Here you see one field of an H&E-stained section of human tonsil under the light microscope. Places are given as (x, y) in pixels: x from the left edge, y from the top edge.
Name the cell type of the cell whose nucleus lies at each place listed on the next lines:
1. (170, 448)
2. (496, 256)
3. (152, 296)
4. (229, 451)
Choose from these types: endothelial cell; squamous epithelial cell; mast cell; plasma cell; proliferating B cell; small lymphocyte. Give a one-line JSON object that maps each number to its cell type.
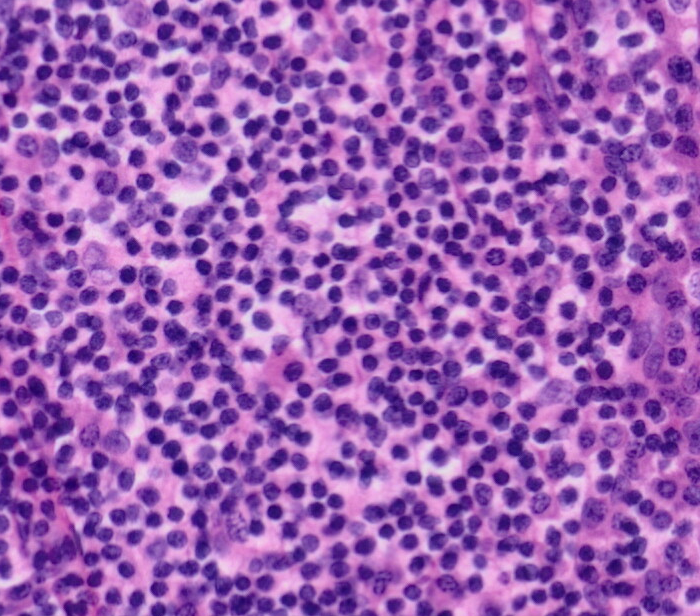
{"1": "small lymphocyte", "2": "plasma cell", "3": "small lymphocyte", "4": "small lymphocyte"}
